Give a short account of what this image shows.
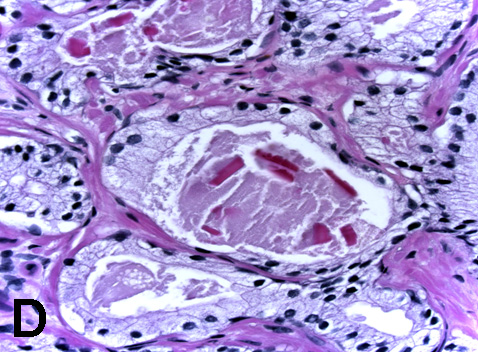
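This shows closely set prostatic glands lined by epithelial secretory cells with clear, faintly pink cytoplasm. The central large gland has a single lining layer of cells with small round dark nuclei lacking obvious nucleoli. Its lumen holds pale pink material in which lie sharp-edged, rod-like dark pink crystalloids. Thin bands of pink fibrous stroma with elongated nuclei separate the glands.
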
